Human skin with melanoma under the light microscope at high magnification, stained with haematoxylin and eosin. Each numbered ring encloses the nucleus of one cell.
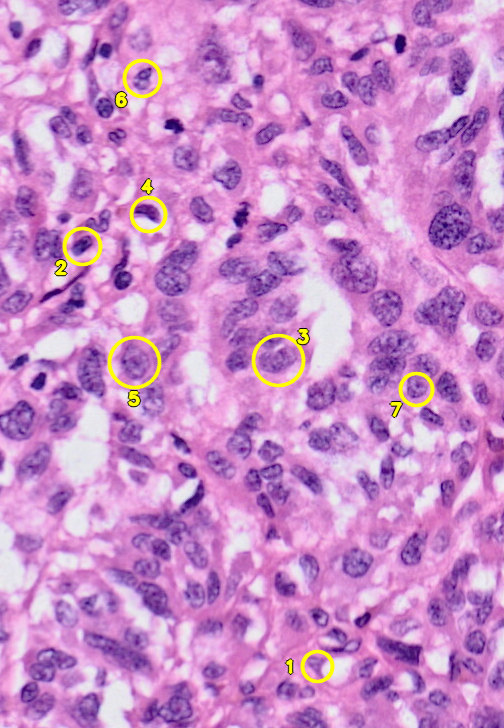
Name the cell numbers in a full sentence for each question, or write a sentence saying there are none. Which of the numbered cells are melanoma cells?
The cells marked with the numbers 3, 4, 5 and 7 are melanoma cells.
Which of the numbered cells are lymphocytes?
Cells 2 and 6 are classified as lymphocytes.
